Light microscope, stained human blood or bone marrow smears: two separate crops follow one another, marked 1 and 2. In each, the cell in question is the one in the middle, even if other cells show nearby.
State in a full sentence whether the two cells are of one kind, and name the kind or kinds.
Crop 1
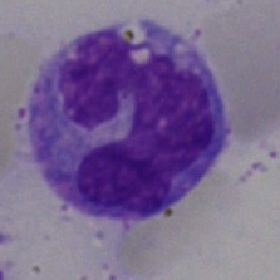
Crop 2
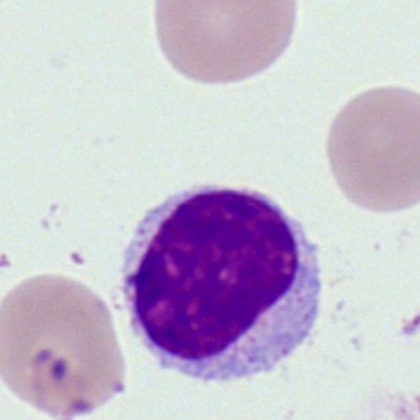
No, crop 1 shows a monocyte, with a lymphocyte shown in crop 2.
